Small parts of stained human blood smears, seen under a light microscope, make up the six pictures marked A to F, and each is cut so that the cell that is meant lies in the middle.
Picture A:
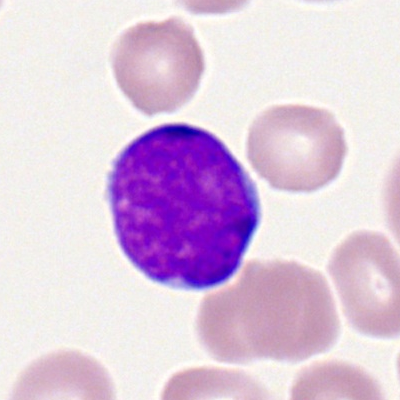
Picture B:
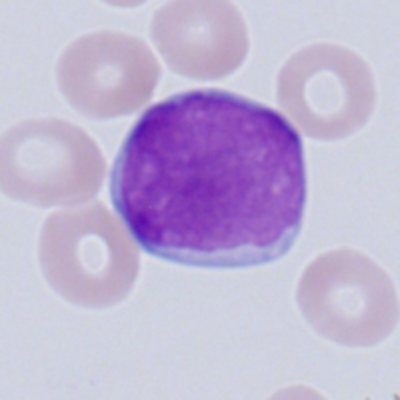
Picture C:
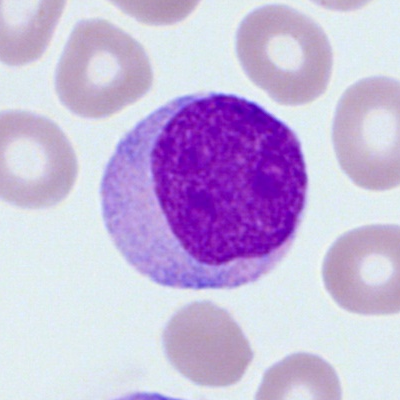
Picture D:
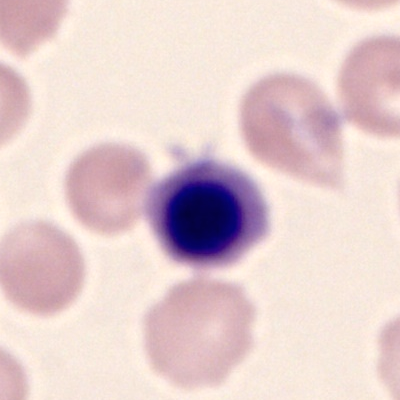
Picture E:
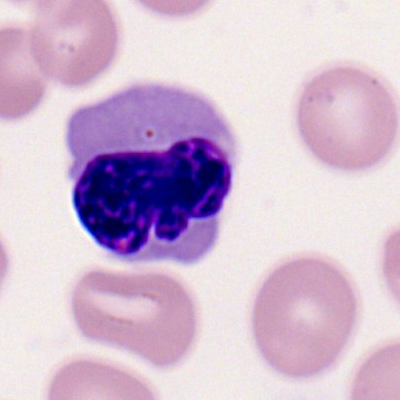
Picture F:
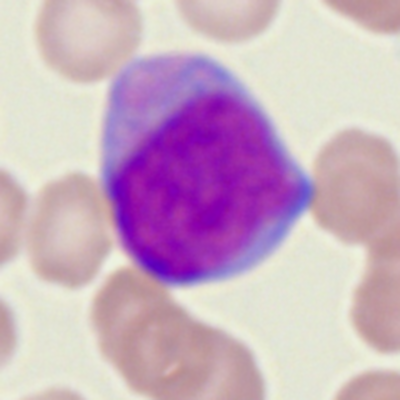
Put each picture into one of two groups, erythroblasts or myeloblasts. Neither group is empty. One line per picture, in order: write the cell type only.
myeloblast
myeloblast
myeloblast
erythroblast
erythroblast
myeloblast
